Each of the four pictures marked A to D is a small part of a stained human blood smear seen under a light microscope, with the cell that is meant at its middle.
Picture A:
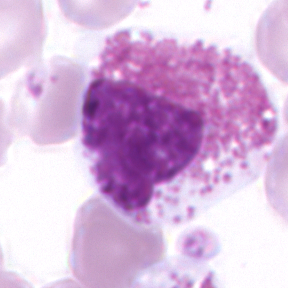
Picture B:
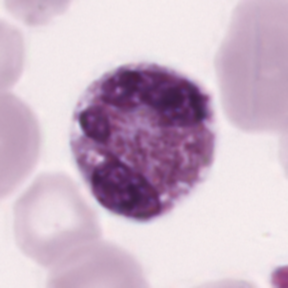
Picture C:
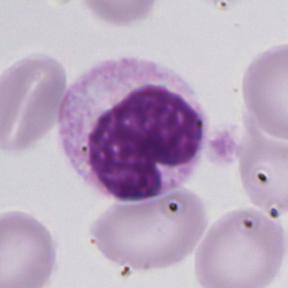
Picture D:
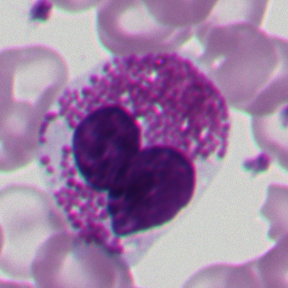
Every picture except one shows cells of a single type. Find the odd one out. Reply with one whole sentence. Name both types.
The different one is picture C; it shows a band neutrophil, whereas all the others show eosinophils.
